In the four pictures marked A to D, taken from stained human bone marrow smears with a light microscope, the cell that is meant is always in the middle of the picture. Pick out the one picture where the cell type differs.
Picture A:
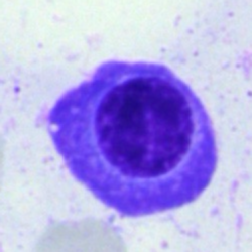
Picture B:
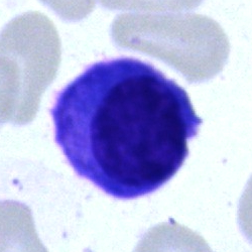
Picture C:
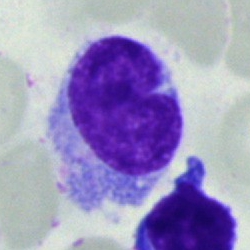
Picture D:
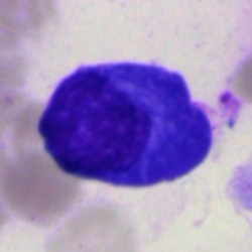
C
